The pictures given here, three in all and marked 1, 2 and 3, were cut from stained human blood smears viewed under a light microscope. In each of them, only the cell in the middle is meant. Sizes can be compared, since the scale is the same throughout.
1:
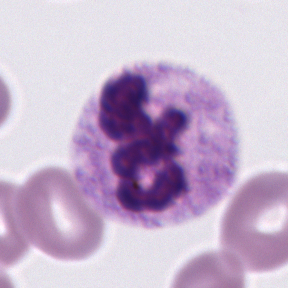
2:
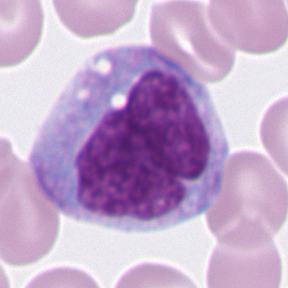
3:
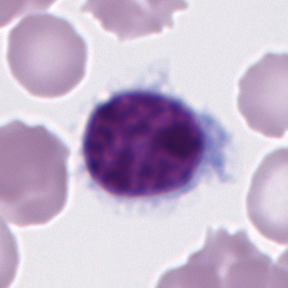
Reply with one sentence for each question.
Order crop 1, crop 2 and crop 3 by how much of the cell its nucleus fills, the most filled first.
They run 3, 2, 1, the most filled first.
